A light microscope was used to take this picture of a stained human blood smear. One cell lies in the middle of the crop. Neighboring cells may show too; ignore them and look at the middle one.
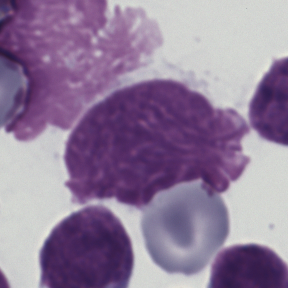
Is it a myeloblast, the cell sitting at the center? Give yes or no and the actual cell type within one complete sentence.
No, rather than being a myeloblast, the central cell is a smudge cell.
